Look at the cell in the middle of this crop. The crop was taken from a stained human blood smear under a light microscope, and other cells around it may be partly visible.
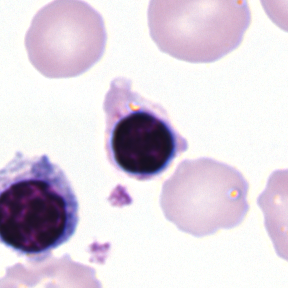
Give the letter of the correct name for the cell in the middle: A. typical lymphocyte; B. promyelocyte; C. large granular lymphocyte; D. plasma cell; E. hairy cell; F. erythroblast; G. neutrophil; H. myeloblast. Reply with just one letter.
F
